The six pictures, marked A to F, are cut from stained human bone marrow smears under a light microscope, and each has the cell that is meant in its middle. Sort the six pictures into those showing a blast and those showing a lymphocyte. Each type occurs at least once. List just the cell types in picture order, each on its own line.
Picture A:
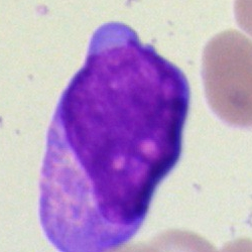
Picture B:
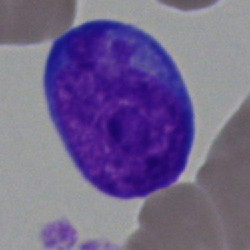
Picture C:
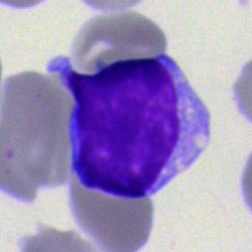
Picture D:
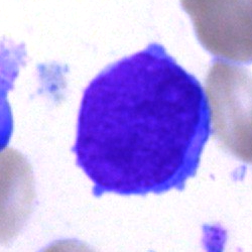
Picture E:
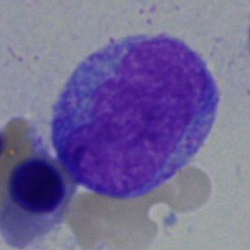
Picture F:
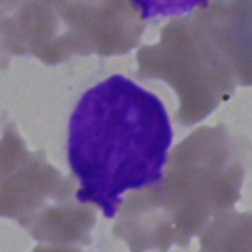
blast
blast
lymphocyte
blast
blast
lymphocyte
